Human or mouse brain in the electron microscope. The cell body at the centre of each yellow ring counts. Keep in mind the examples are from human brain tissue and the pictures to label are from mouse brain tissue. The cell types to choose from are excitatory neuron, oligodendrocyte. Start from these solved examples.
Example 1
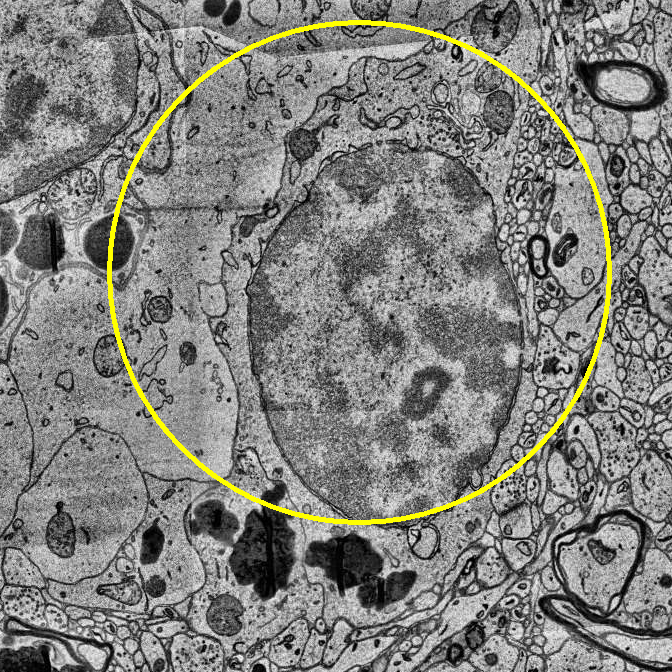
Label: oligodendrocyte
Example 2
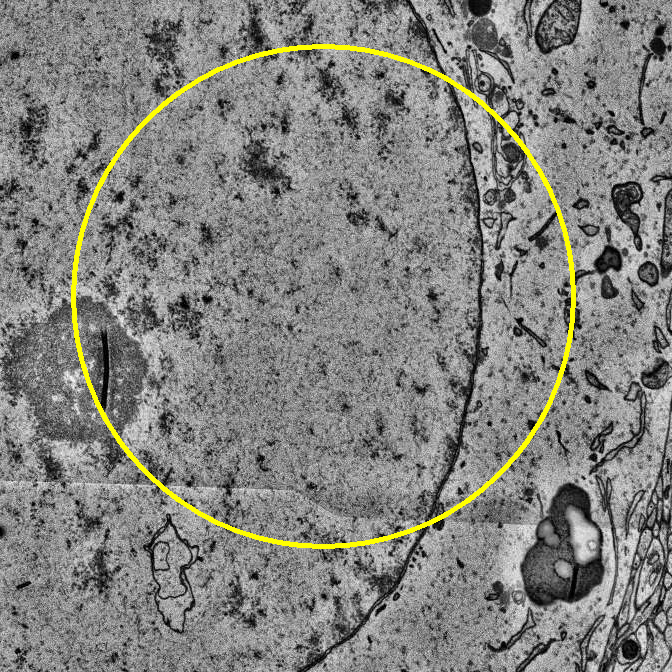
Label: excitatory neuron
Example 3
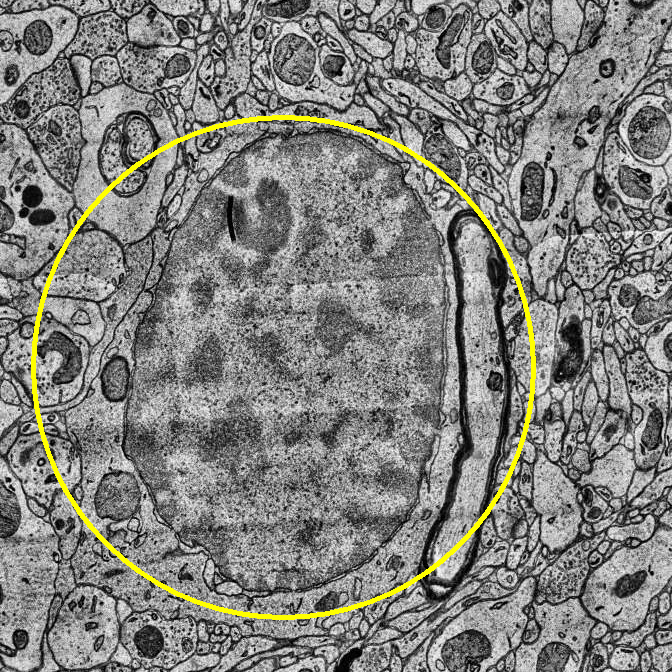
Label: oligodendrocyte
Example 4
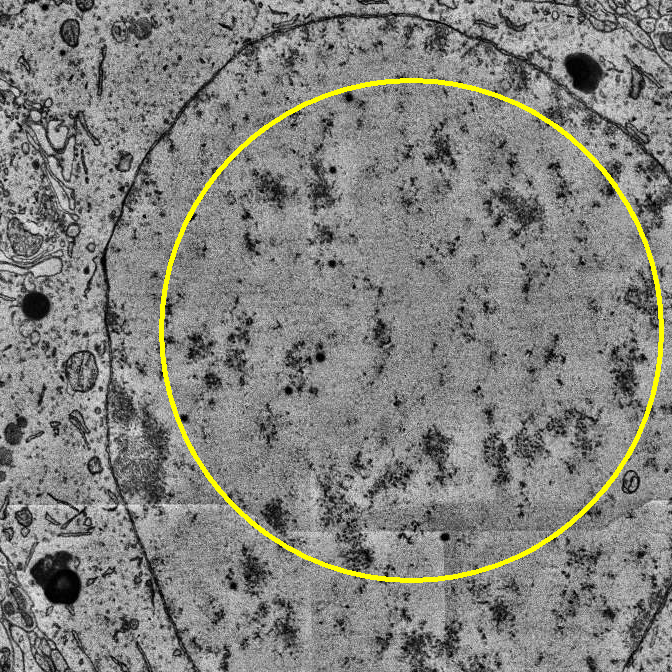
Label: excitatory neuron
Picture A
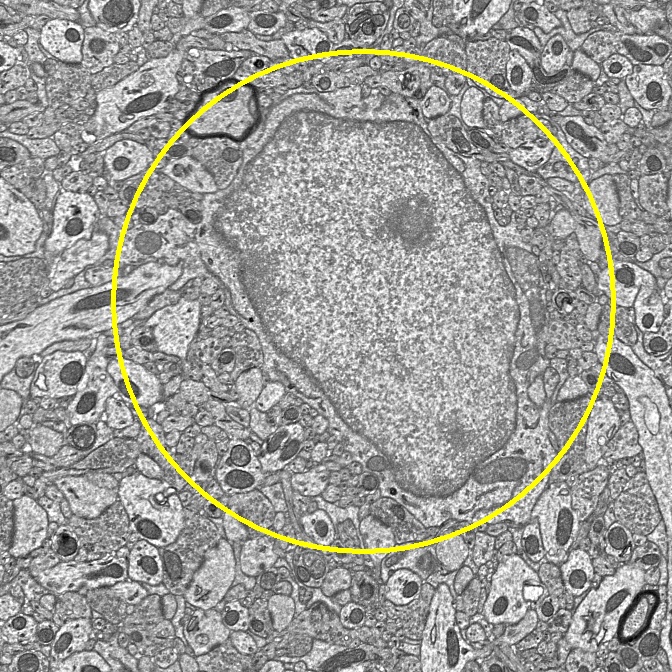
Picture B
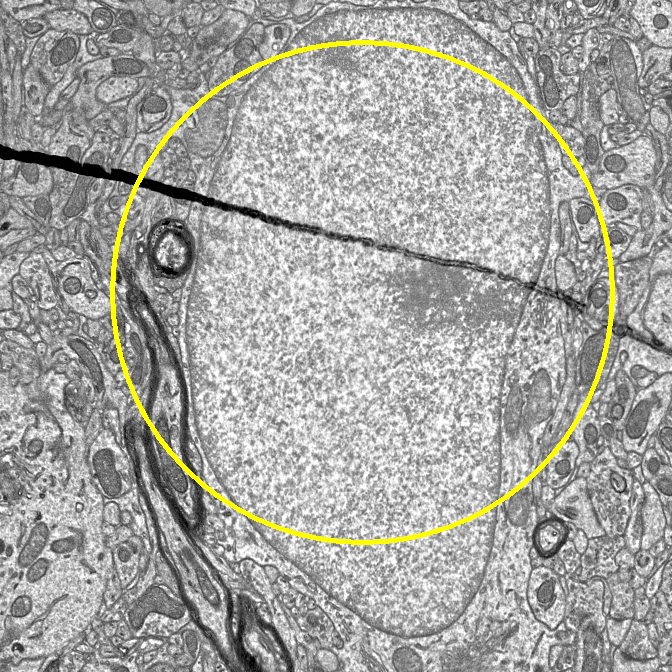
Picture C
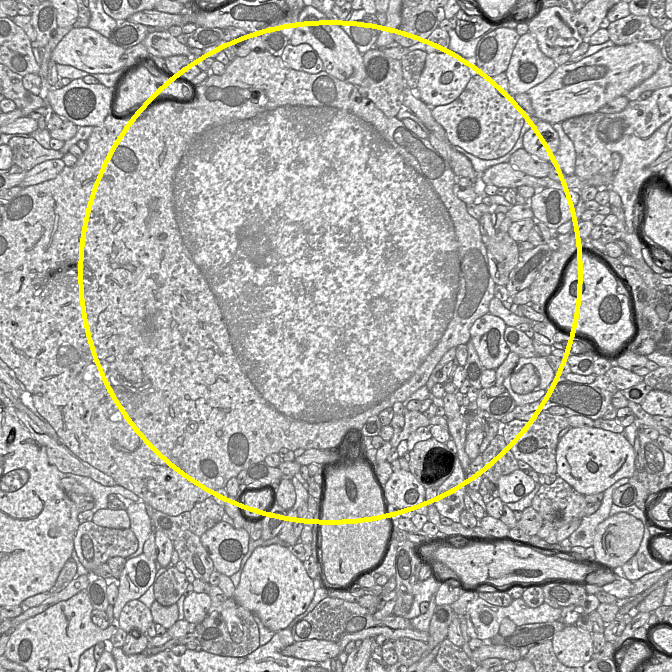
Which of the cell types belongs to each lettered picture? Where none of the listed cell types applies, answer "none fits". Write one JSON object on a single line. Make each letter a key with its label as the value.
{"A": "none fits", "B": "none fits", "C": "oligodendrocyte"}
